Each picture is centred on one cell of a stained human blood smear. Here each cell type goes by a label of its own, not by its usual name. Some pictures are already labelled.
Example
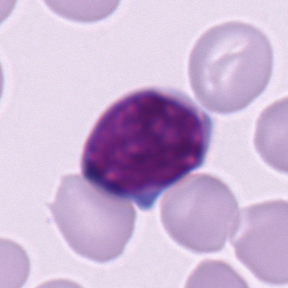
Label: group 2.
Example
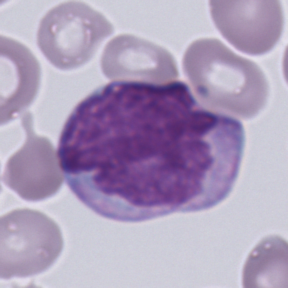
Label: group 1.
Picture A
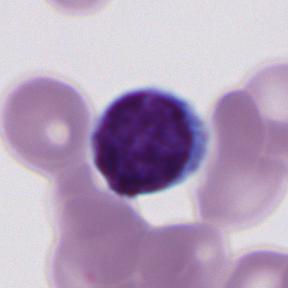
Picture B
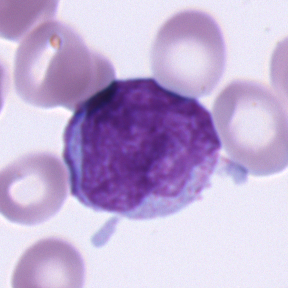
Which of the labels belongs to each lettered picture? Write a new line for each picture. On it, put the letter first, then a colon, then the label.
A: group 2.
B: group 1.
